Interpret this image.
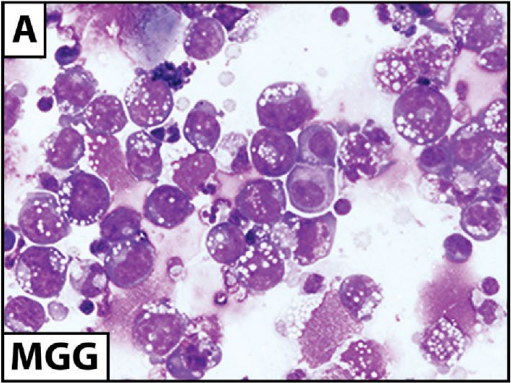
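Large neoplastic cells in a fluid preparation, lying singly and in loose groups. They have round to oval nuclei and abundant deep blue-purple basophilic cytoplasm containing numerous small clear round vacuoles. Scattered among them are much smaller cells with dense dark nuclei, and pinkish proteinaceous material forms the background.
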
